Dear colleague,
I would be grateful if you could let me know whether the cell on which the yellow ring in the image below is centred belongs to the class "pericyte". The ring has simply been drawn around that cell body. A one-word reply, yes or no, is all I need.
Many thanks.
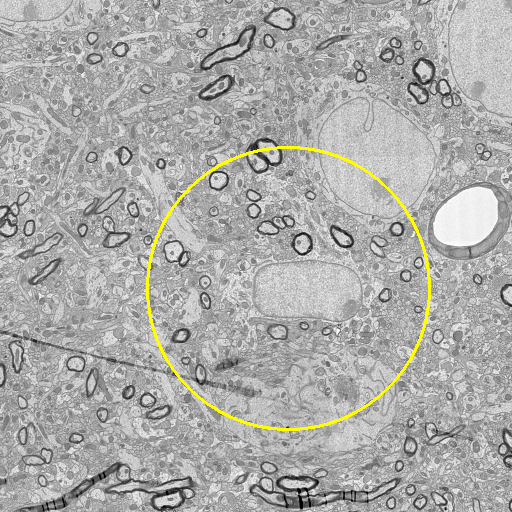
no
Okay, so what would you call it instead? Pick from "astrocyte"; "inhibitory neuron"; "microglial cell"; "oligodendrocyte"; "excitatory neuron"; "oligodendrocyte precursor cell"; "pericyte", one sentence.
The correct answer is that the cell is an astrocyte.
